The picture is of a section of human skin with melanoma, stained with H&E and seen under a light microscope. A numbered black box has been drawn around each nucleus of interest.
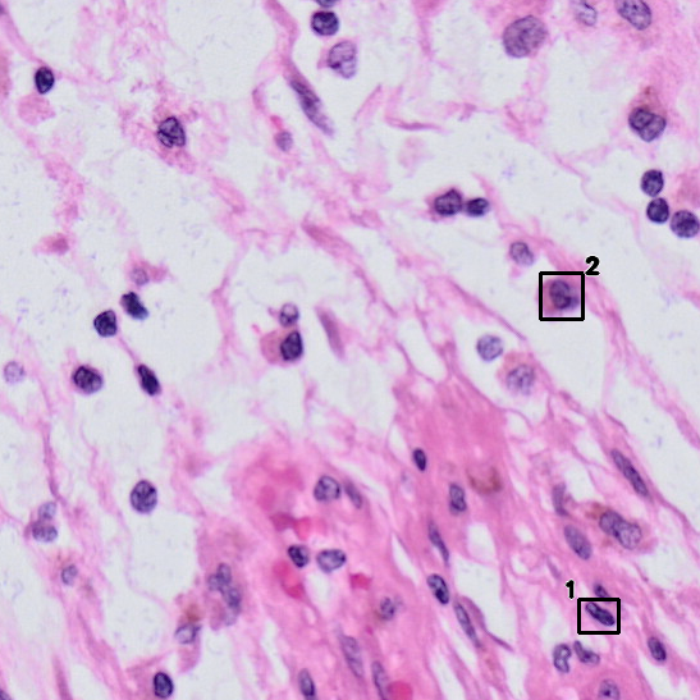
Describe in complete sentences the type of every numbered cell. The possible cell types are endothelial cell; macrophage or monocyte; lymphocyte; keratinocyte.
Cell 1 is a lymphocyte. Cell 2 is a macrophage or monocyte.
